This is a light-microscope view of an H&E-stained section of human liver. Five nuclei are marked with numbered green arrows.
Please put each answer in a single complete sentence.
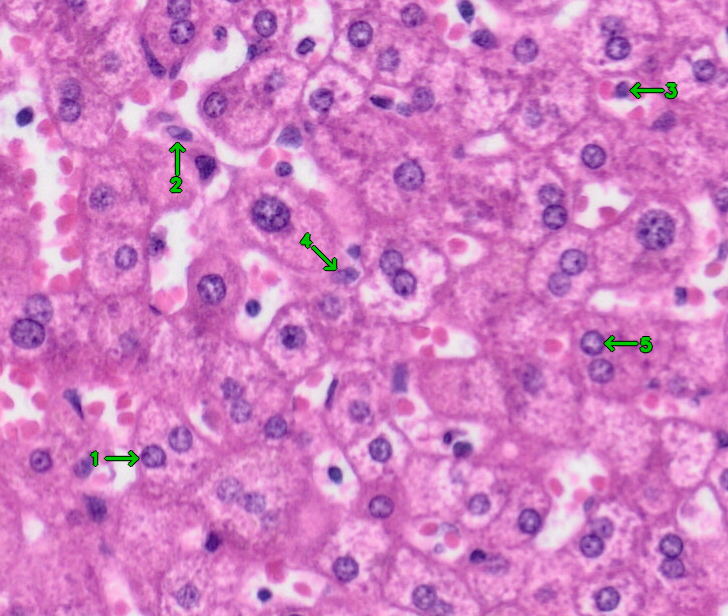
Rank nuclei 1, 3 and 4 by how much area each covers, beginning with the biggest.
From largest to smallest, the order is 1, 4, 3.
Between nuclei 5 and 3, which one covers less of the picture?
With nucleus 5 about 2 times its size, nucleus 3 is the smaller of the two.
